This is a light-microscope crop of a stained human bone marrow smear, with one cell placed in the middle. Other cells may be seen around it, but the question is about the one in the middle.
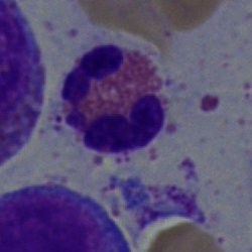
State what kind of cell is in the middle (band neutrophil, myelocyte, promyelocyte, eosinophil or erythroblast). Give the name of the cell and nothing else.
eosinophil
